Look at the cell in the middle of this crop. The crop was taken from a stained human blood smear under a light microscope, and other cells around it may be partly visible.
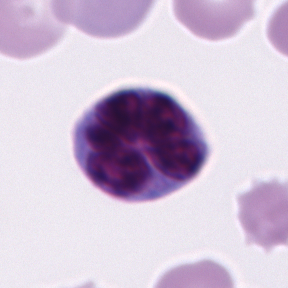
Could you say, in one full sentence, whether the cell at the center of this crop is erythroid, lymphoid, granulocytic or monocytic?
Recorded as erythroid in lineage is the cell in the middle of the crop.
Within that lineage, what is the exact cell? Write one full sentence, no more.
Among the cells in view, the one in the middle is a normoblast.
